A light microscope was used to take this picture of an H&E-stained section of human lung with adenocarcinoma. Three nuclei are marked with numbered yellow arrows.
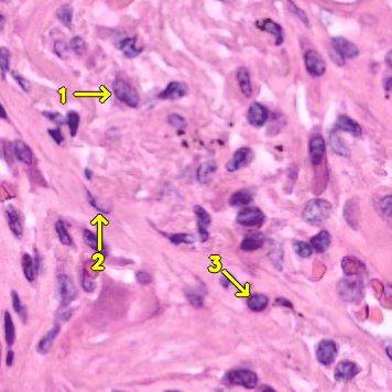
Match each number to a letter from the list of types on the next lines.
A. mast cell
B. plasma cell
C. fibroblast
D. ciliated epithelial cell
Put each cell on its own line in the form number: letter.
1: B
2: C
3: A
